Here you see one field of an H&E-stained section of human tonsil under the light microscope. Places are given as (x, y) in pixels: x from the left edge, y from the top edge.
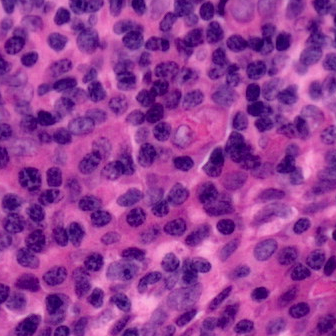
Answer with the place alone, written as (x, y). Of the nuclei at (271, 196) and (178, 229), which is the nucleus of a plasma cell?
(178, 229)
